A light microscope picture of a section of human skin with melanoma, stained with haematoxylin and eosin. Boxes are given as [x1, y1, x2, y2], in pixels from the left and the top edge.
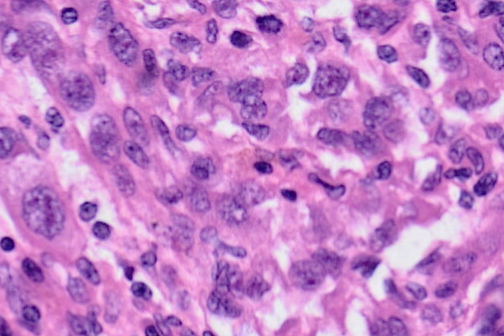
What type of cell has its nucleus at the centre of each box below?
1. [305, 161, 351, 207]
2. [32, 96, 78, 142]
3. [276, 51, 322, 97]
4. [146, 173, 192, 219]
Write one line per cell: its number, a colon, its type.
1: macrophage or monocyte
2: lymphocyte
3: melanoma cell
4: melanoma cell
